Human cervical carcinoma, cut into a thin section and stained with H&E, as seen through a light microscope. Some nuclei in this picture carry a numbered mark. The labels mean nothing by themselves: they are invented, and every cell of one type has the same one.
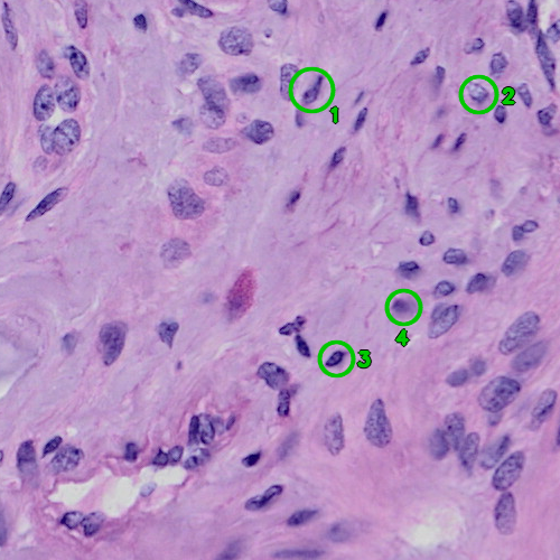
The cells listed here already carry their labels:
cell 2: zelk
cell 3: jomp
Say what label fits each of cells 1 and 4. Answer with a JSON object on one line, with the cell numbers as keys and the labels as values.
{"1": "jomp", "4": "jomp"}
